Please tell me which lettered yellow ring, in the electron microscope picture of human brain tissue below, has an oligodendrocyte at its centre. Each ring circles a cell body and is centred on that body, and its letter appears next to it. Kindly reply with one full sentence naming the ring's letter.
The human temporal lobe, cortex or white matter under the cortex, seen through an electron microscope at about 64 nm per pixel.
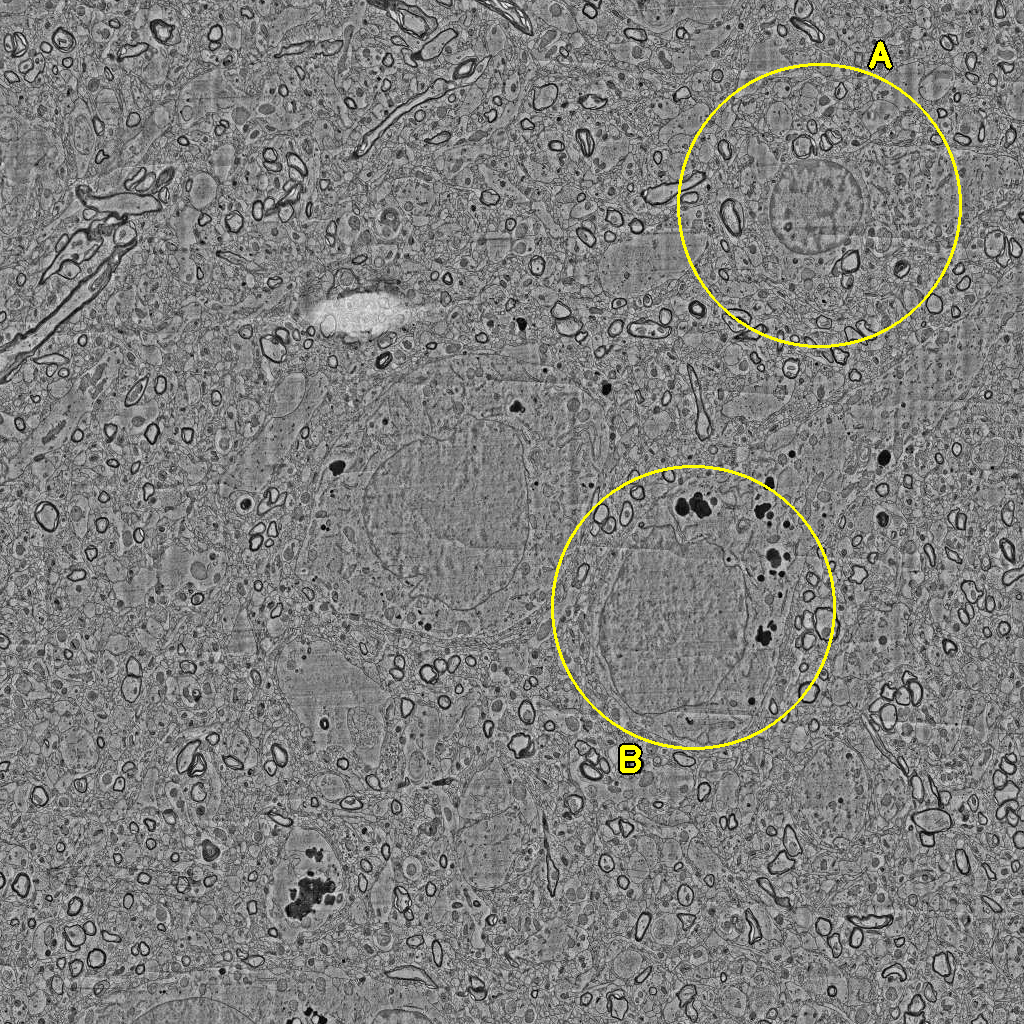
Ring A has the cell asked for at its centre.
